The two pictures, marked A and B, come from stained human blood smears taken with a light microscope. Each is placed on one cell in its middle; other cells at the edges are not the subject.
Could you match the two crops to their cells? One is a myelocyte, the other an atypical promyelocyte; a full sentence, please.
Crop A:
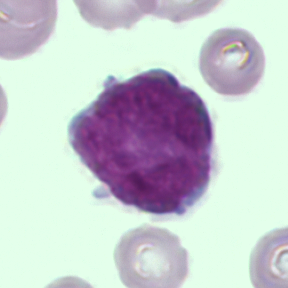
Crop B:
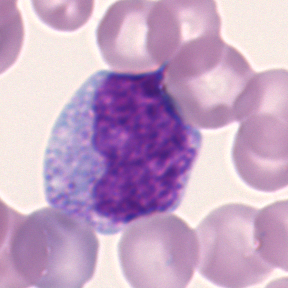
In crop A there is an atypical promyelocyte, and in crop B there is a myelocyte.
